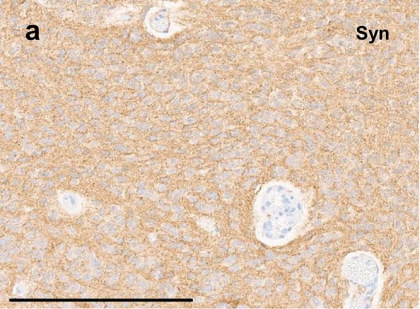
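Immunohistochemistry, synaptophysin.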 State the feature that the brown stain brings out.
tumor cell matrix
